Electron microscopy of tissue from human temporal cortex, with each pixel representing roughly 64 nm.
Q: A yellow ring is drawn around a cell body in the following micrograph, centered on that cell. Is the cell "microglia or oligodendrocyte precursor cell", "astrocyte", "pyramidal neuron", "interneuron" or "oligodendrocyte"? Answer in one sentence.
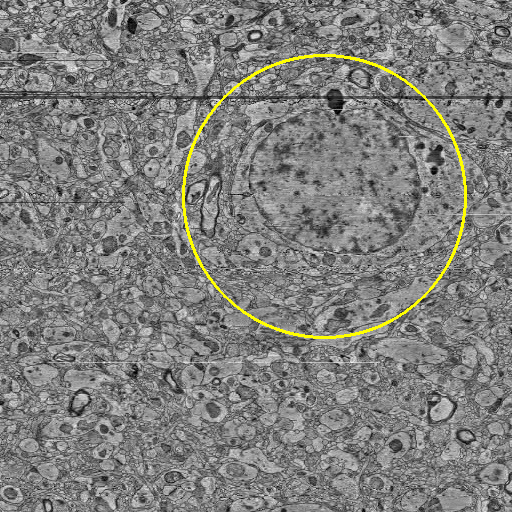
The cell in the center of the ring is an interneuron.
